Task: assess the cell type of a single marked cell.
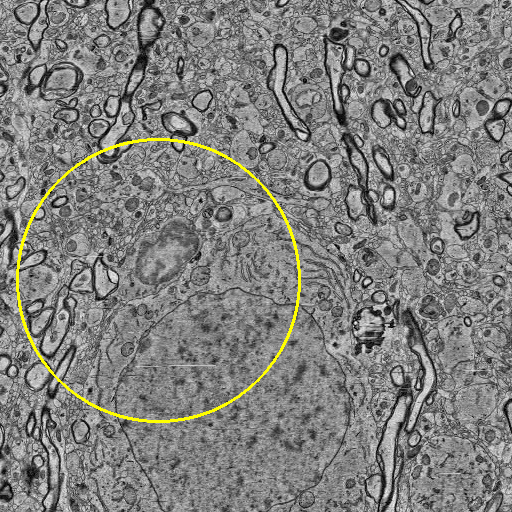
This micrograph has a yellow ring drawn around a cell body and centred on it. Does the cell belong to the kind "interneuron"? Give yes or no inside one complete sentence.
No, the marked cell at the centre of the ring belongs to another kind.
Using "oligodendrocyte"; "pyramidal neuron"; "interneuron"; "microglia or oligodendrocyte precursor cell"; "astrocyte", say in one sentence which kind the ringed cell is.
The ringed cell in this picture is, instead, an oligodendrocyte.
